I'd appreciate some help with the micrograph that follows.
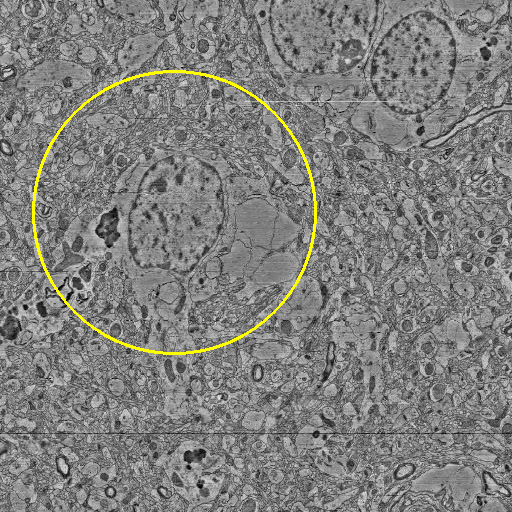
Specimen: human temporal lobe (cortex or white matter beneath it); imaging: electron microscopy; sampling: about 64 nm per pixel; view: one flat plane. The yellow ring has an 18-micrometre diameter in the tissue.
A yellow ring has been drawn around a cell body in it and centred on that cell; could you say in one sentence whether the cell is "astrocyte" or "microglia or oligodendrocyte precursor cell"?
It is an astrocyte at the centre of the ring.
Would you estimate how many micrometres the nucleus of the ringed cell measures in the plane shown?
Roughly 8 micrometres by 6 micrometres, in this plane.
